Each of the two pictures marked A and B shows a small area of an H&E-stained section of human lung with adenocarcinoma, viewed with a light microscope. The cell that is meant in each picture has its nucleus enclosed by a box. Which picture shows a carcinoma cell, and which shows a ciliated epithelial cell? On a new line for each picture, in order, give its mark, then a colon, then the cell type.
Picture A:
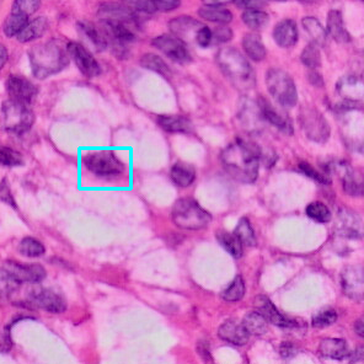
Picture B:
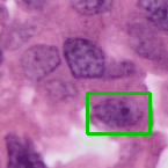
A: ciliated epithelial cell
B: carcinoma cell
